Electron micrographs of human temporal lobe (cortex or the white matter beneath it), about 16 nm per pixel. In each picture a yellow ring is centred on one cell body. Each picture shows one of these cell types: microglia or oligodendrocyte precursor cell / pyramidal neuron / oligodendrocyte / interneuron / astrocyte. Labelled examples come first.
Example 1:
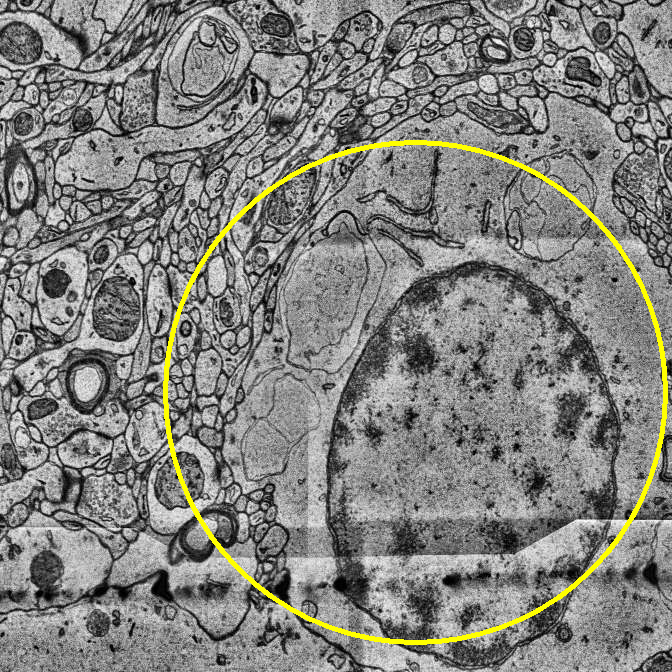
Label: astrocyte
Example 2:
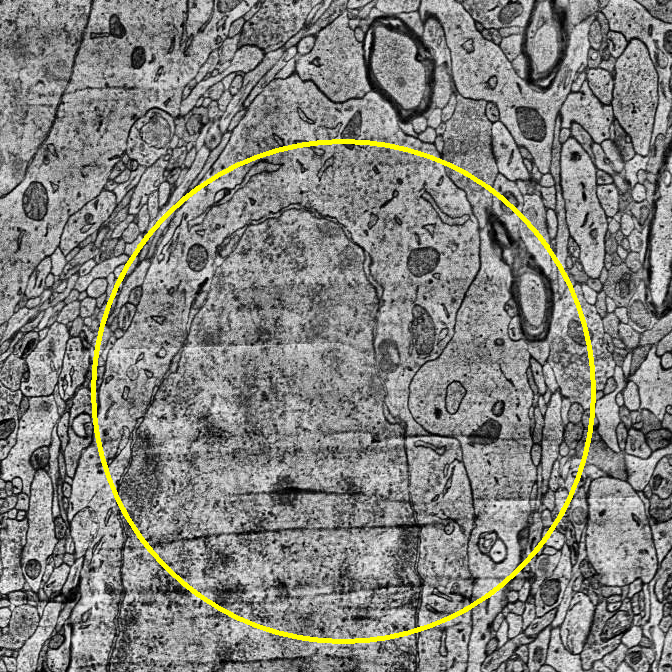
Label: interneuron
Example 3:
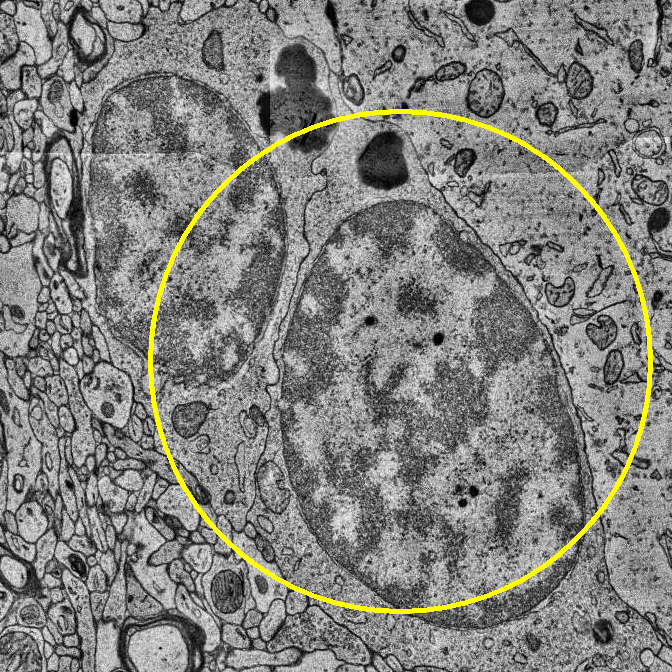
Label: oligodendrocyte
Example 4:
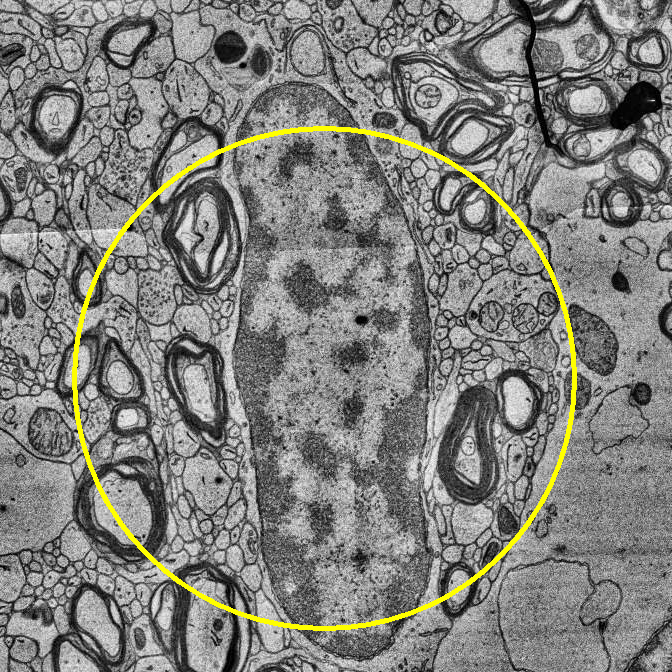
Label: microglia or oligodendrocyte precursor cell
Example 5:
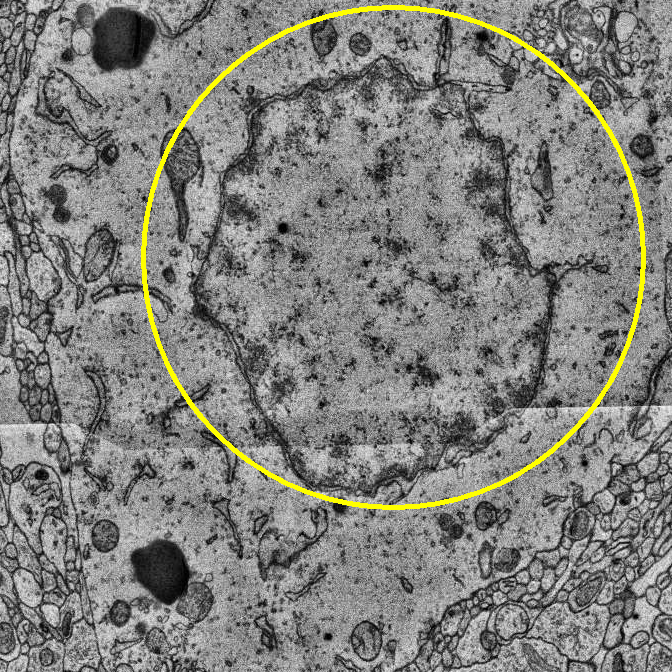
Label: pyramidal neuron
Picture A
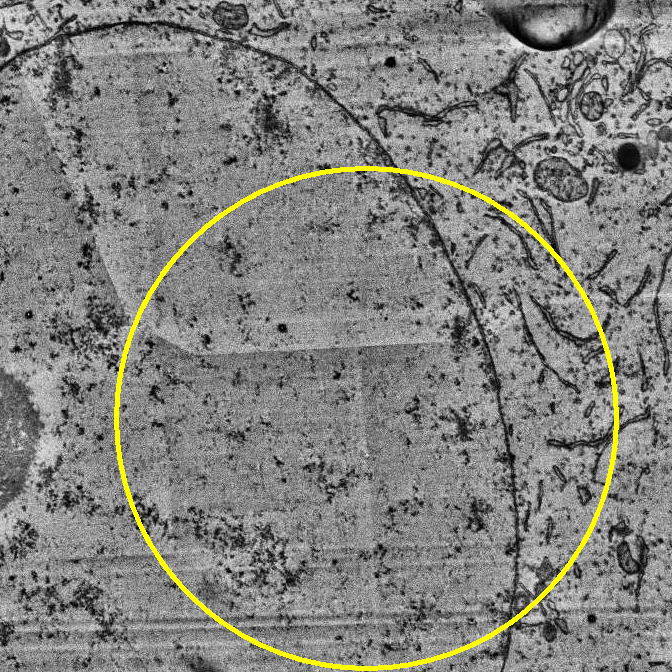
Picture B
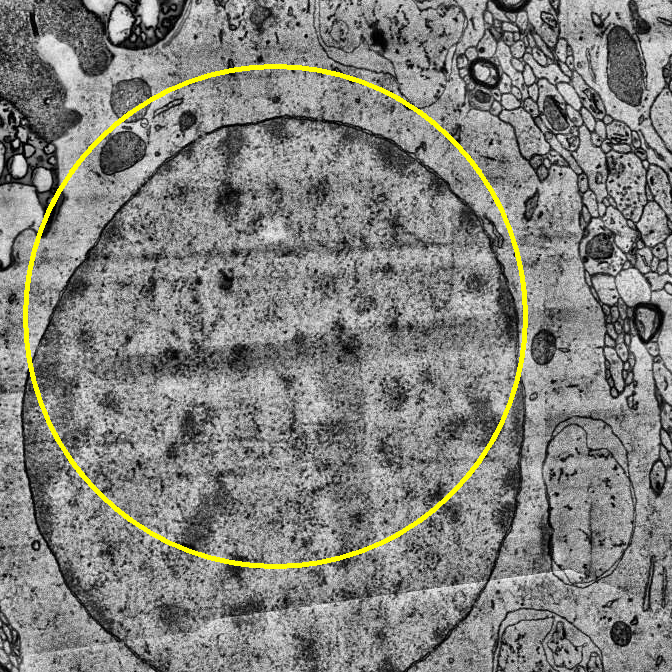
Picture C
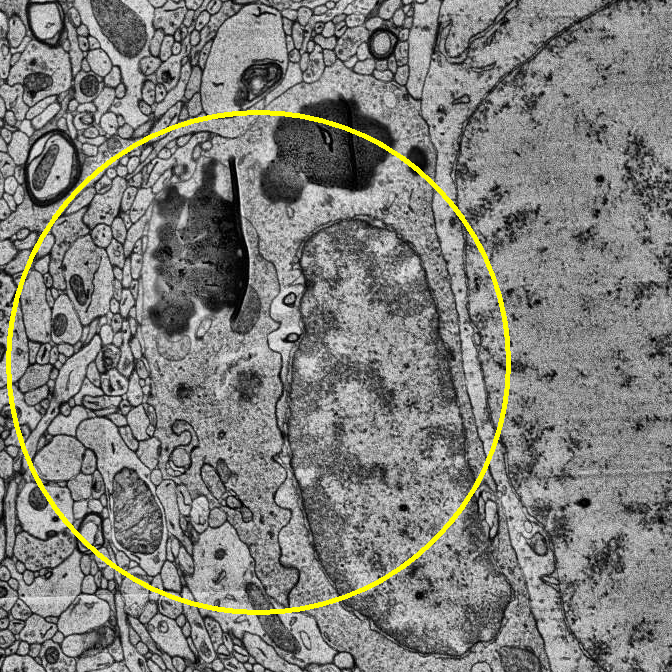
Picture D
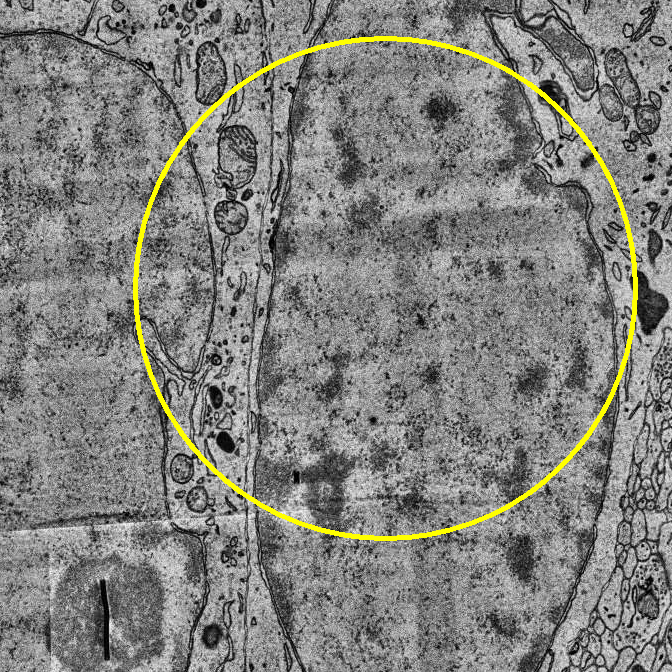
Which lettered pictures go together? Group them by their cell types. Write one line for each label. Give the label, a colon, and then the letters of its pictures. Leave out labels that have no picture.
microglia or oligodendrocyte precursor cell: D
pyramidal neuron: A
oligodendrocyte: C
astrocyte: B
